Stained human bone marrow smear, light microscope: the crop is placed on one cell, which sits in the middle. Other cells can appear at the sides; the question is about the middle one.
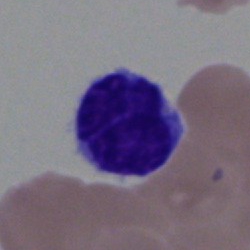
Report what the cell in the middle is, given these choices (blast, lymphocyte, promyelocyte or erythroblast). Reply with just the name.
lymphocyte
